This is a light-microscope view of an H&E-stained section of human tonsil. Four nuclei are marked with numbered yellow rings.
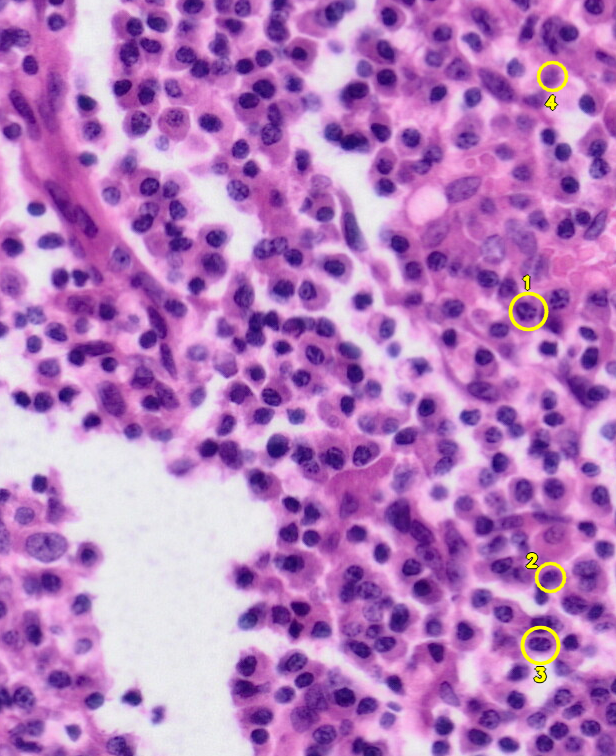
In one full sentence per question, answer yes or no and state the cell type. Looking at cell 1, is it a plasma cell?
Yes, the cell that has number 1 is a plasma cell.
